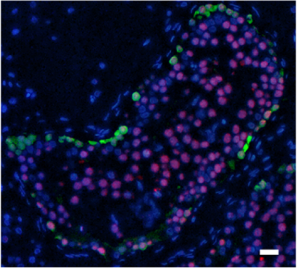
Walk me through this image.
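Most nuclei inside the tubule carry a red nuclear stain over the blue counterstain, so the epithelium appears largely pink-red. Green cells lie in a thin, single line along the outer edge of the tubule, flattened against its boundary; a few of them also show the red nuclear stain. Outside the tubule the looser interstitial tissue holds scattered blue nuclei, mostly without red. The red-stained nuclei fill the tubule from the edge toward the centre.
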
